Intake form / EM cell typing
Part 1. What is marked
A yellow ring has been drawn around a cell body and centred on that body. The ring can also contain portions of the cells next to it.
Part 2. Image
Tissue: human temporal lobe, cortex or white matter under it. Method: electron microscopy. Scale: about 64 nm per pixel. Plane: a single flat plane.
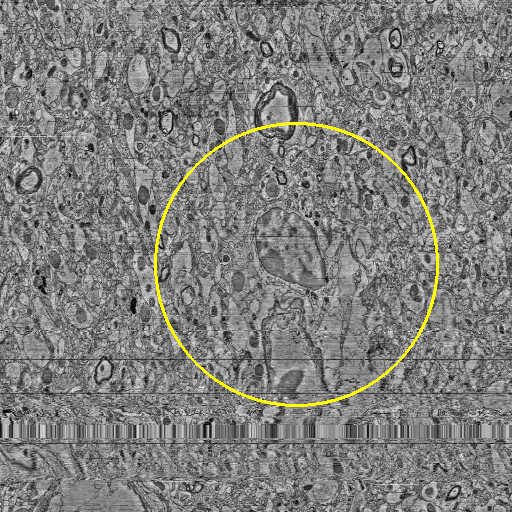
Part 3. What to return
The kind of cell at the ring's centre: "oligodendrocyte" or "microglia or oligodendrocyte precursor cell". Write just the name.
microglia or oligodendrocyte precursor cell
